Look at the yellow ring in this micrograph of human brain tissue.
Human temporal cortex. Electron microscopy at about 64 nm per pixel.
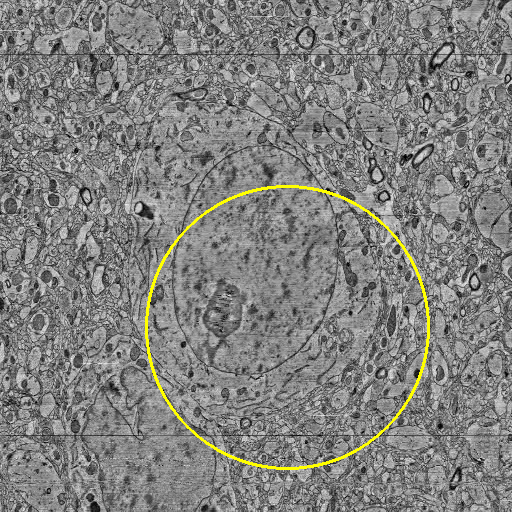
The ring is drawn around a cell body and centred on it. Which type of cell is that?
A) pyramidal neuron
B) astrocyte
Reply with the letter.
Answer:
A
